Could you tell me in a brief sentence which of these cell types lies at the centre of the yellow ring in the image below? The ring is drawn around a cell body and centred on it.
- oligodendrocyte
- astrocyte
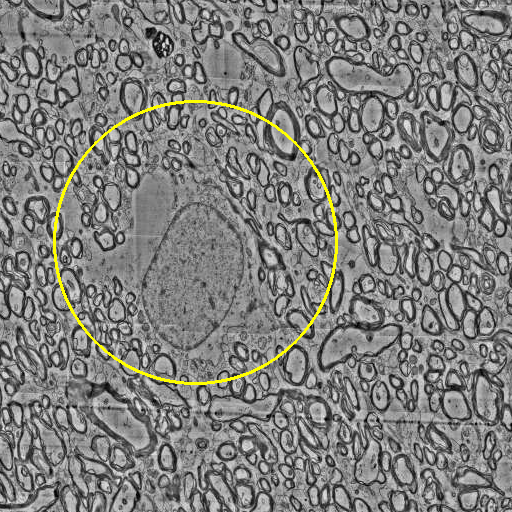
The cell centred in the ring is an astrocyte.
